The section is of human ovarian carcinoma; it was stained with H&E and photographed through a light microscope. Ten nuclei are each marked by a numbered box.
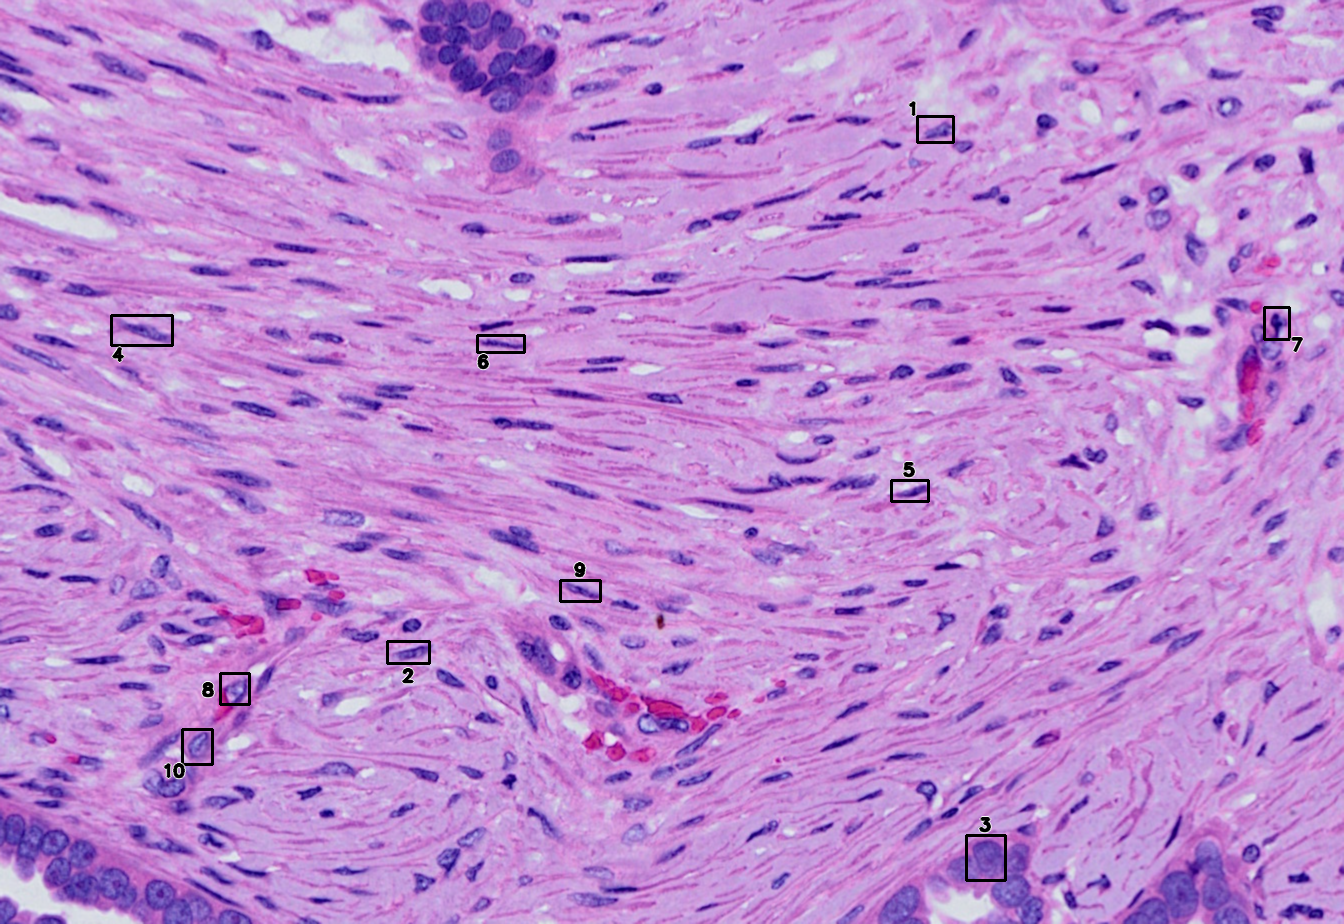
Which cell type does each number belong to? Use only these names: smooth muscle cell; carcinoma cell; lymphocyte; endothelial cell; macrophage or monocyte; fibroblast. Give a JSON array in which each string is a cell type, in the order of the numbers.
["fibroblast", "fibroblast", "carcinoma cell", "fibroblast", "fibroblast", "fibroblast", "endothelial cell", "endothelial cell", "fibroblast", "endothelial cell"]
